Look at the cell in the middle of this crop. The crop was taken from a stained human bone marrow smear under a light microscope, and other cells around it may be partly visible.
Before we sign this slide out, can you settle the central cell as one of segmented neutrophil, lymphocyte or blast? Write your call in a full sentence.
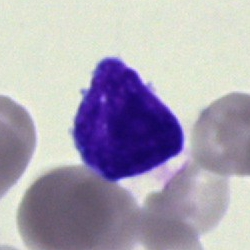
The central cell, amid any neighbouring cells, is a lymphocyte.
